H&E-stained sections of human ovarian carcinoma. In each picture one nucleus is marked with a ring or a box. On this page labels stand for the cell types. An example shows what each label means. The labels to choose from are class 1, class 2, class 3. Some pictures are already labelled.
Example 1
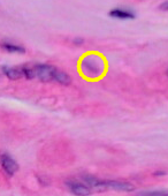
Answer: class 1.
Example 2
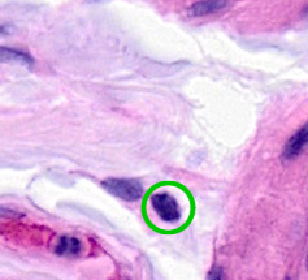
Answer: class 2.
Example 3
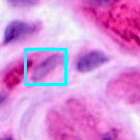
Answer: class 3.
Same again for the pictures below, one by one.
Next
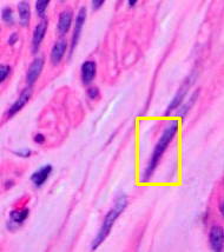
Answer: class 1.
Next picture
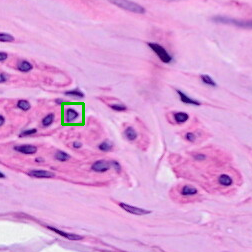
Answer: class 1.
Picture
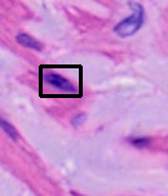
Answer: class 1.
